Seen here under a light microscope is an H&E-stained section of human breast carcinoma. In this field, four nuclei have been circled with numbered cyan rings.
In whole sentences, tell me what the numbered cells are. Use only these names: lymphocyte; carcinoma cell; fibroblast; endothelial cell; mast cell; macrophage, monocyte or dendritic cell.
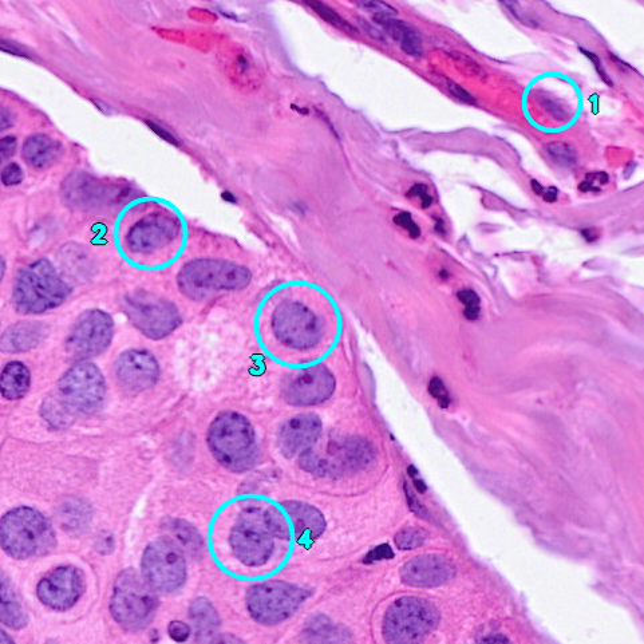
Cell 1 is an endothelial cell, cell 2 is a carcinoma cell, cell 3 is a carcinoma cell and cell 4 is a carcinoma cell.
